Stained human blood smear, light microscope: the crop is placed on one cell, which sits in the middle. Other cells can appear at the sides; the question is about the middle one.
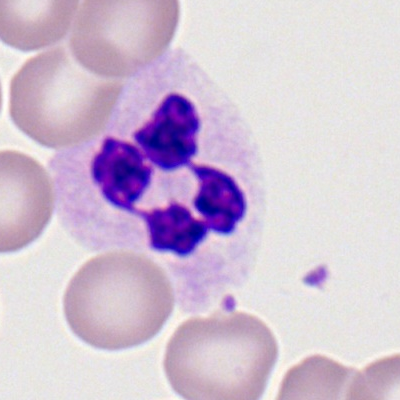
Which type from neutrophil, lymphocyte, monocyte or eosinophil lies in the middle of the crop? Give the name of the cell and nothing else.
neutrophil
